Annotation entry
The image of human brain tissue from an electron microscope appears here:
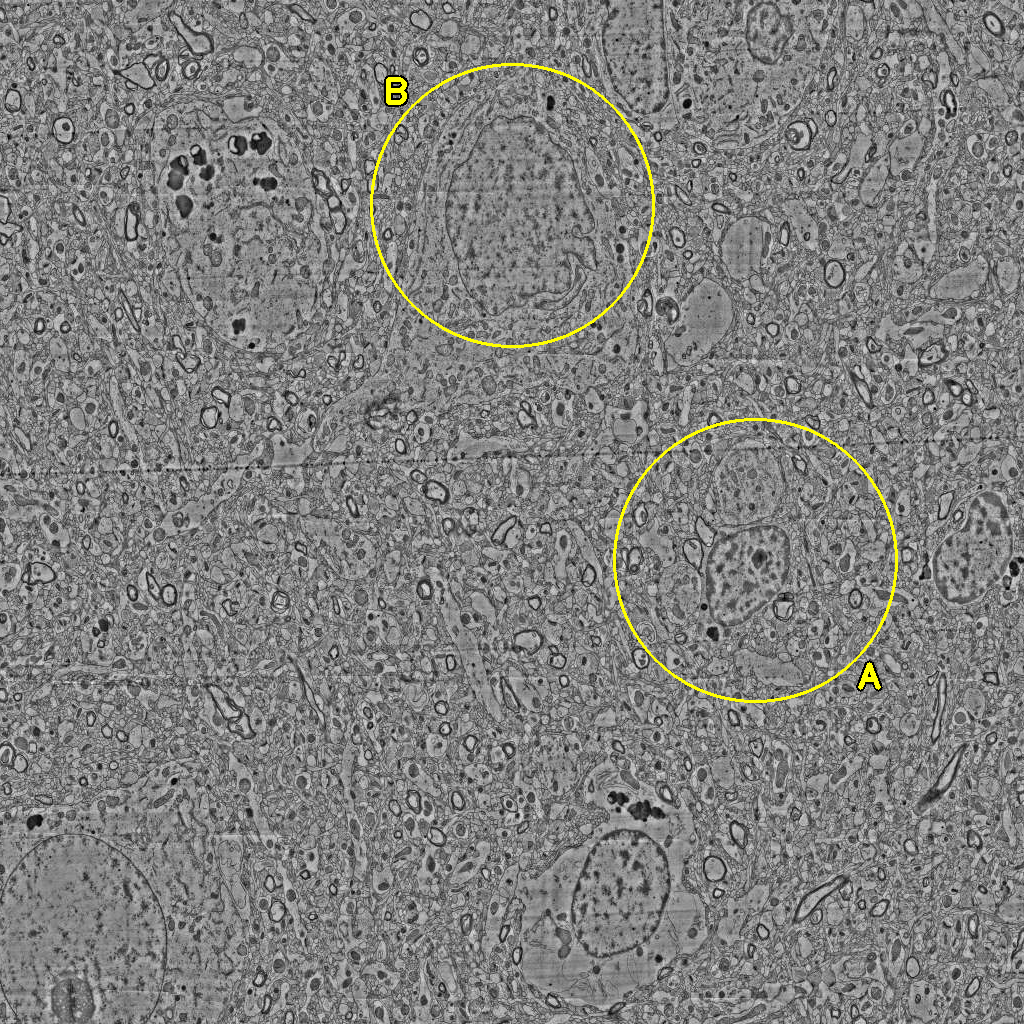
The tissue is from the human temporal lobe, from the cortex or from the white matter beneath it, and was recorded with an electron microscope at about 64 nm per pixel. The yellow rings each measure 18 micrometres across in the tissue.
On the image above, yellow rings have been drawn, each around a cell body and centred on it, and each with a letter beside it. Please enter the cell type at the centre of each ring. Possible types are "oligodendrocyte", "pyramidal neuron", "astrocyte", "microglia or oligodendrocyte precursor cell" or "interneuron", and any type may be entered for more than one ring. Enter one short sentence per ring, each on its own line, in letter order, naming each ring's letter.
The cell that ring A is centred on is an oligodendrocyte.
The cell that ring B is centred on is an interneuron.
